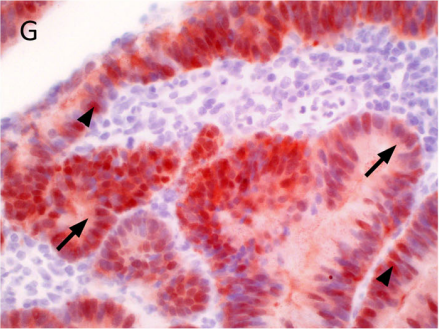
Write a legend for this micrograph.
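Neoplastic glands are lined by crowded, stratified epithelial cells with elongated, closely packed nuclei. Most epithelial cells are strongly stained red, in many the nuclei themselves are deep red while the cytoplasm toward the lumen is a paler red.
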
